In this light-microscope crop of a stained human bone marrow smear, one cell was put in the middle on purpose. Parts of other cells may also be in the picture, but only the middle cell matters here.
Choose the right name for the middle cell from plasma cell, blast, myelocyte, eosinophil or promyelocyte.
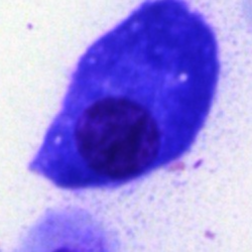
plasma cell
